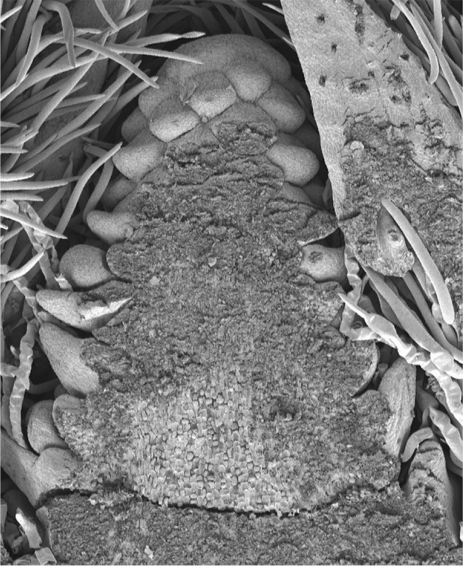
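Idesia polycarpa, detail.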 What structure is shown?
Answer: inflorescence bract primordia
